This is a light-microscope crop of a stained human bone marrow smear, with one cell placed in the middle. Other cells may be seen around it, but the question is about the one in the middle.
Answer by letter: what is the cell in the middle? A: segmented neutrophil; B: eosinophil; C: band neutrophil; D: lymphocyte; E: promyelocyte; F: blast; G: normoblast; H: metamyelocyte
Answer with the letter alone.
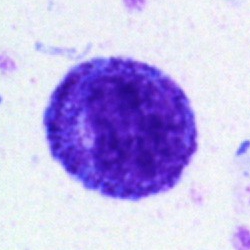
E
